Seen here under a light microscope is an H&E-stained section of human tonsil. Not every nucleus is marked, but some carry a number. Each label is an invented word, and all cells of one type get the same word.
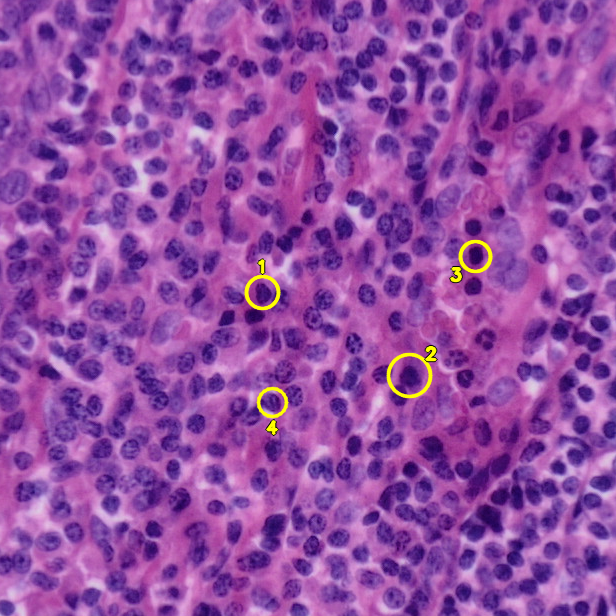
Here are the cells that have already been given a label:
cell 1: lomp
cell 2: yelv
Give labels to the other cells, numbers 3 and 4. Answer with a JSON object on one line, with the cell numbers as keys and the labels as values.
{"3": "yelv", "4": "lomp"}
